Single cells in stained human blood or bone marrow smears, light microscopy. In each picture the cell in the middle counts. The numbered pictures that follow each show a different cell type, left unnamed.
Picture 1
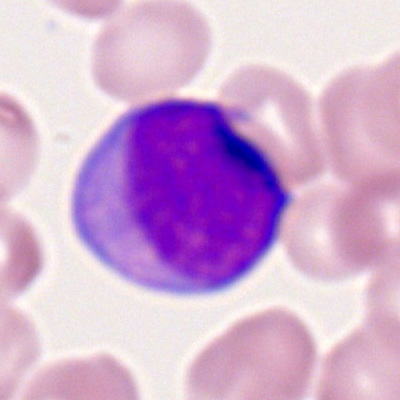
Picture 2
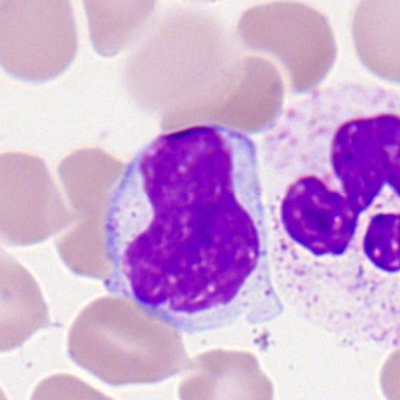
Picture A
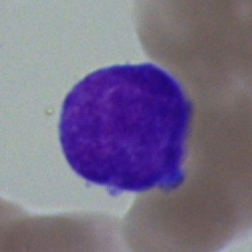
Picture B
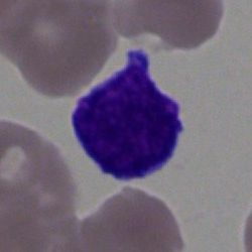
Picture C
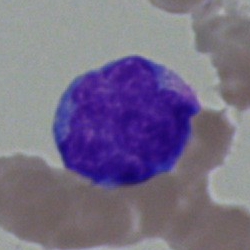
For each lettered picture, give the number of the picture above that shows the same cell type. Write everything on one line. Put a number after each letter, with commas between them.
A 1, B 1, C 1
